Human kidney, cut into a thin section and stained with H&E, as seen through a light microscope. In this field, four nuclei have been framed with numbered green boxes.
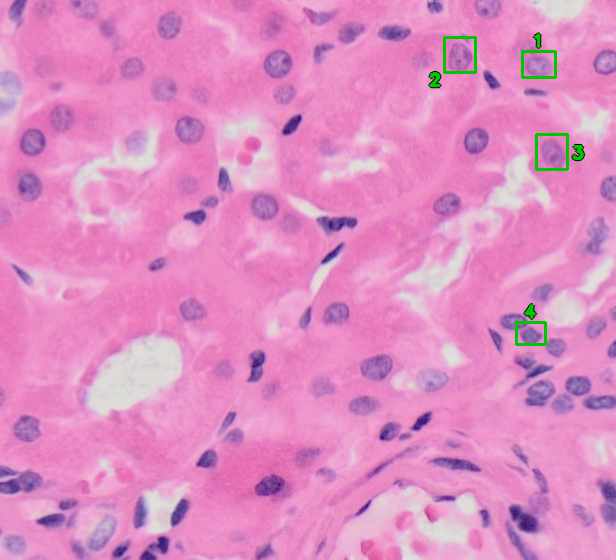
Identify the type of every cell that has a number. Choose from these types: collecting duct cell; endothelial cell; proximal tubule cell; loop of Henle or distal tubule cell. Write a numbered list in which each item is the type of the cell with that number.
1. proximal tubule cell
2. proximal tubule cell
3. proximal tubule cell
4. collecting duct cell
